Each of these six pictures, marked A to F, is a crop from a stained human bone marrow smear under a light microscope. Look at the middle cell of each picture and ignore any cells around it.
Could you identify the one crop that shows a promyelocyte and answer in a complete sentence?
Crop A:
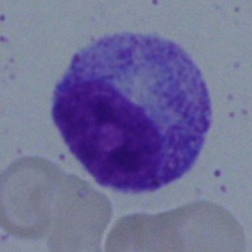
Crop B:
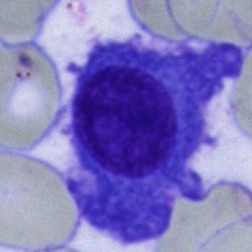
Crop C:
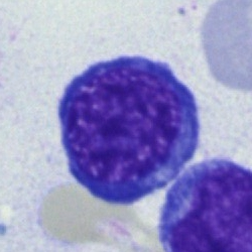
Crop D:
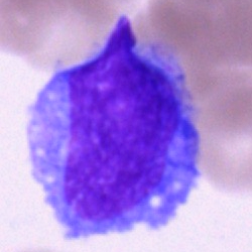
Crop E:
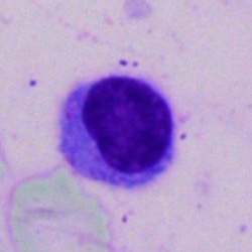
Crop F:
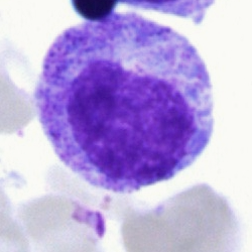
Among the crops given, only crop F shows a promyelocyte.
